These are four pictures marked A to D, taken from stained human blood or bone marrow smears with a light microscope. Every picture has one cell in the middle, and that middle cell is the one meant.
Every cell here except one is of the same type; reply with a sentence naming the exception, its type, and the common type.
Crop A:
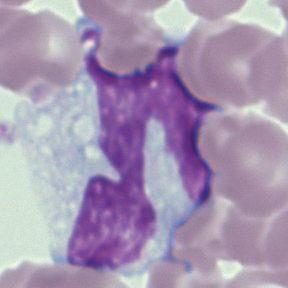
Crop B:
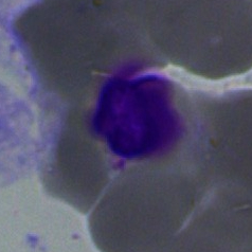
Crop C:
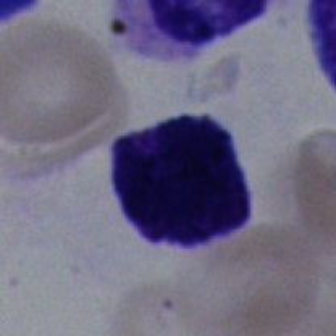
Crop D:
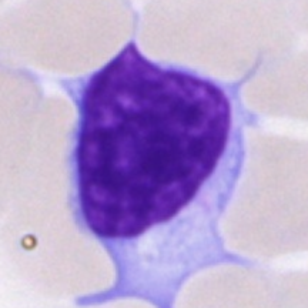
Just crop A is a monocyte; all the other crops show lymphocytes.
